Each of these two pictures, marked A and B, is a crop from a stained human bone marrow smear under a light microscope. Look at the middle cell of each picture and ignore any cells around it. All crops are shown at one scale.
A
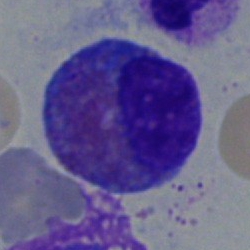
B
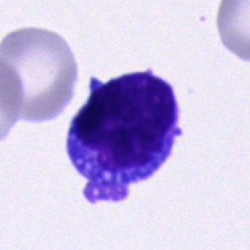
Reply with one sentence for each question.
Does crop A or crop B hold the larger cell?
It is the cell in crop A, about 1.5 times as large in area as the cell in crop B.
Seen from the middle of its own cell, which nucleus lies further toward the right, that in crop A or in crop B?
Seen within its cell, the nucleus in crop A lies further toward the right.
